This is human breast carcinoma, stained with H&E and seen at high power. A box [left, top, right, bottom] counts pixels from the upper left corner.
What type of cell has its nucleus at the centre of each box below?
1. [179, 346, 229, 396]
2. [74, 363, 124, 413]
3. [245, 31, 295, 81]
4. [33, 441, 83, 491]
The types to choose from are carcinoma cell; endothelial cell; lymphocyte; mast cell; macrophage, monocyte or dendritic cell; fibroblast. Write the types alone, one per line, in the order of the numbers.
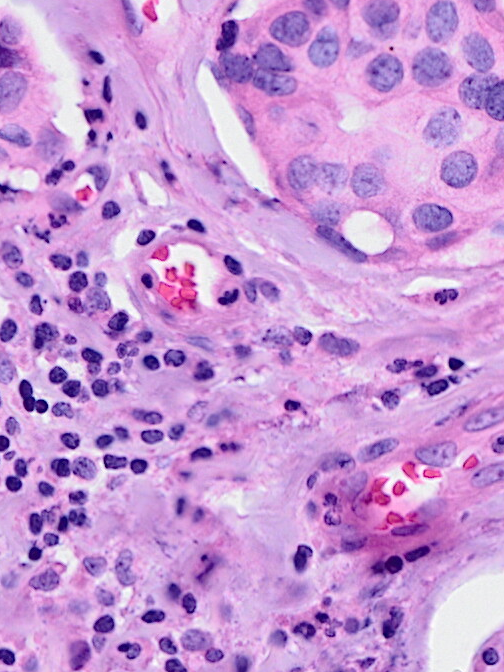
lymphocyte
lymphocyte
carcinoma cell
lymphocyte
